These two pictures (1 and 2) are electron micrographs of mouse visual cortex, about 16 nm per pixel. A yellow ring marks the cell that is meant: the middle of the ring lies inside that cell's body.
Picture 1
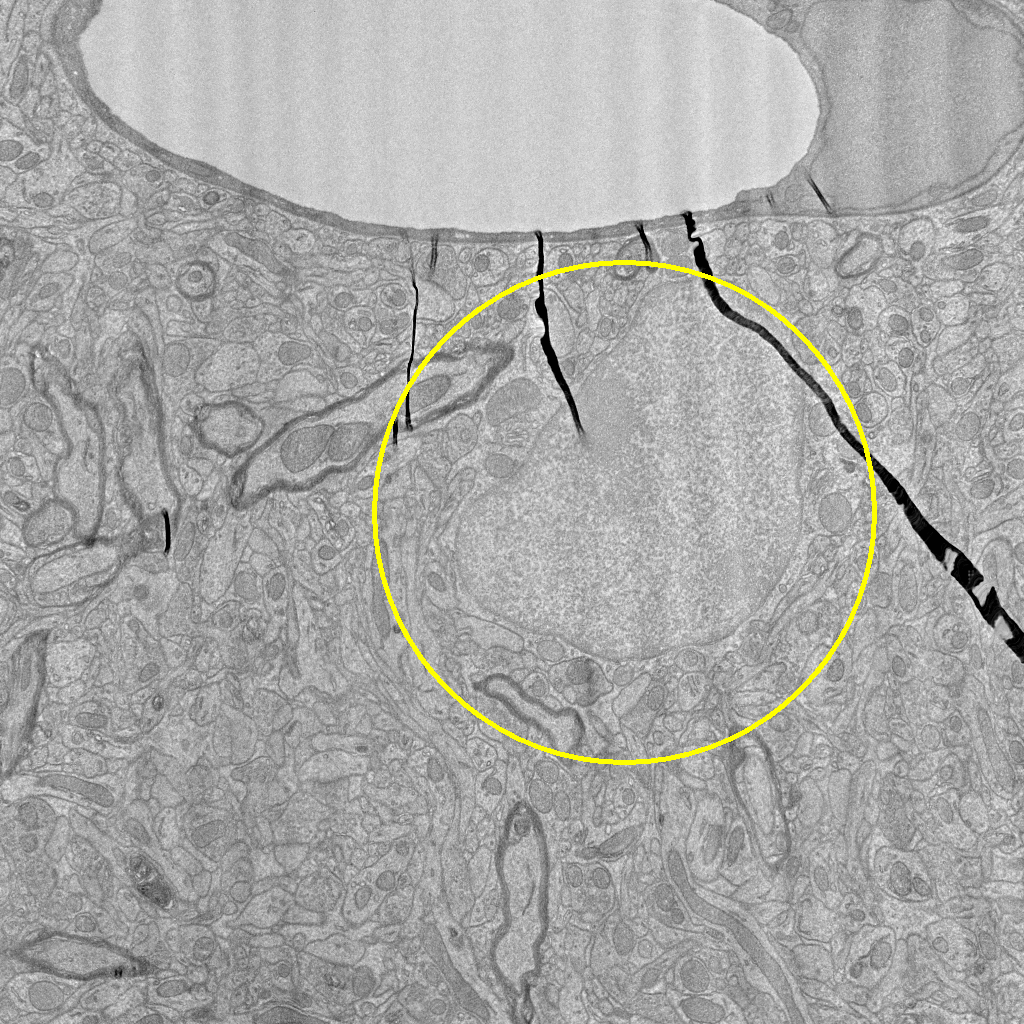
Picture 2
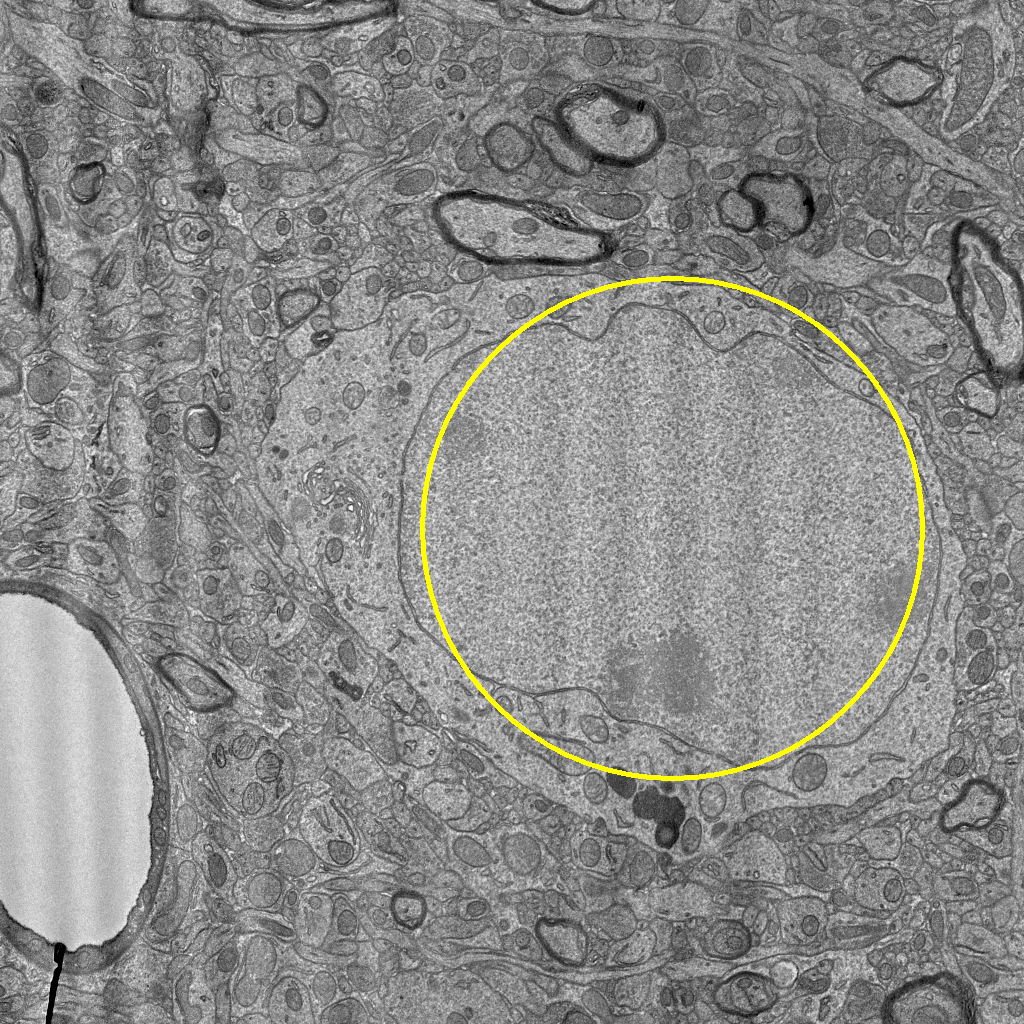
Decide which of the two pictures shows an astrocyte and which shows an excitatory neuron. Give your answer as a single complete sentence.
Picture 1 shows an astrocyte and picture 2 shows an excitatory neuron.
